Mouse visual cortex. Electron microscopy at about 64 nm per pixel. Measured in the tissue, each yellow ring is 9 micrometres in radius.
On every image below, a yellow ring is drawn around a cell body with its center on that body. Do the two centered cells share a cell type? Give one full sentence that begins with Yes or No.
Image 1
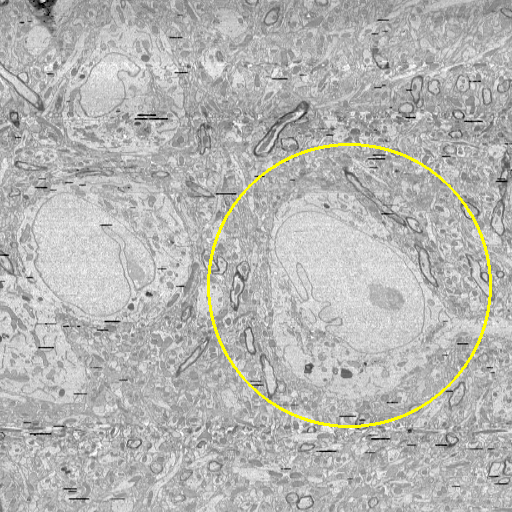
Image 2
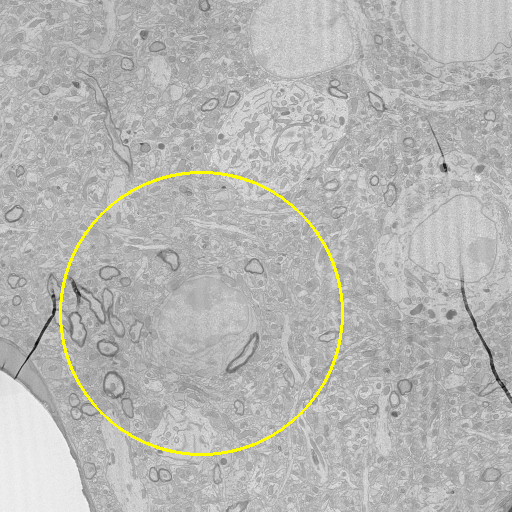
No, the centered cells in the two images are of two separate cell types.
